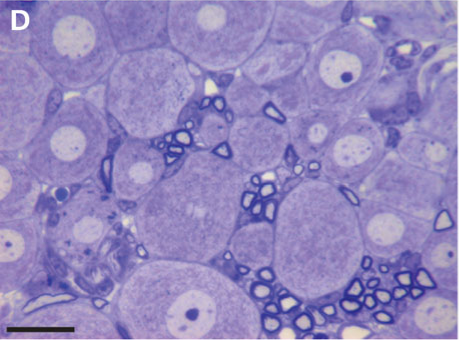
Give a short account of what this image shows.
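The neuron cell bodies are large and round with finely granular pale blue cytoplasm, and round pale nuclei holding a single dark nucleolus. Between them run groups of small myelinated fibres seen as dark blue rings around pale axons, along with small satellite and other cell nuclei.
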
